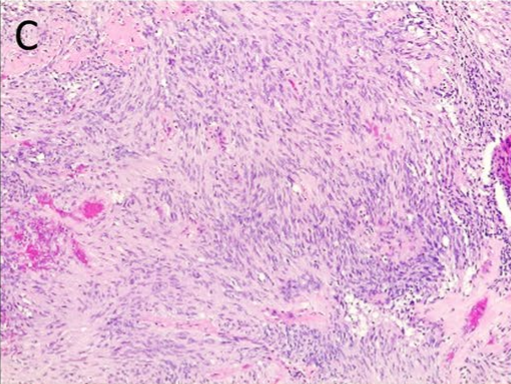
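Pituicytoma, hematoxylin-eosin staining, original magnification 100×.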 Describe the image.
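A densely cellular tumour of elongated cells with tapering ends and long, slender purple nuclei, packed into solid sheets and short bundles running in different directions, with pink fibrillary areas and small blood-filled vessels in between. These are bipolar spindle cells arranged in solid sheets and short fascicles.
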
